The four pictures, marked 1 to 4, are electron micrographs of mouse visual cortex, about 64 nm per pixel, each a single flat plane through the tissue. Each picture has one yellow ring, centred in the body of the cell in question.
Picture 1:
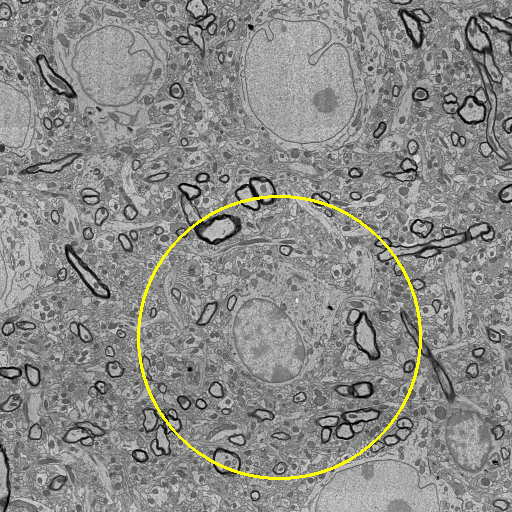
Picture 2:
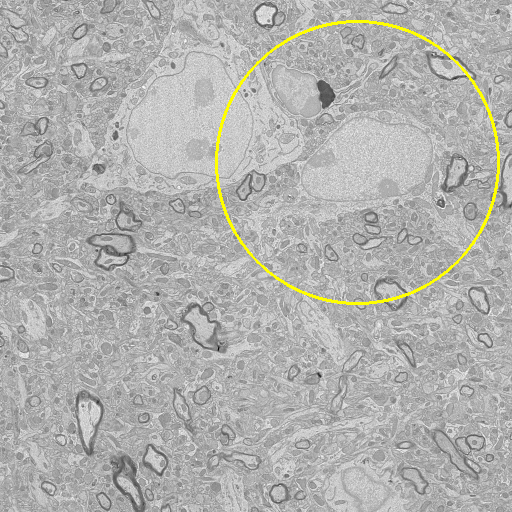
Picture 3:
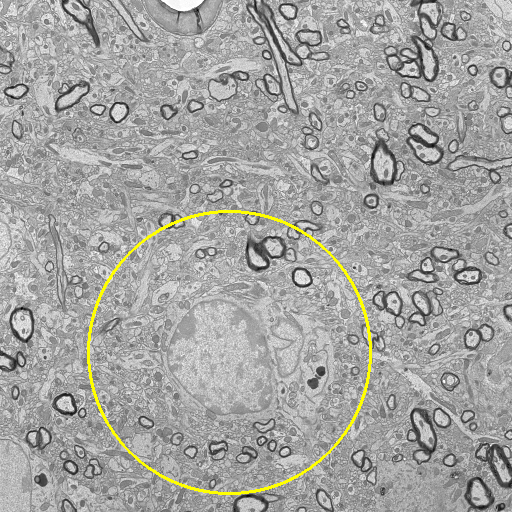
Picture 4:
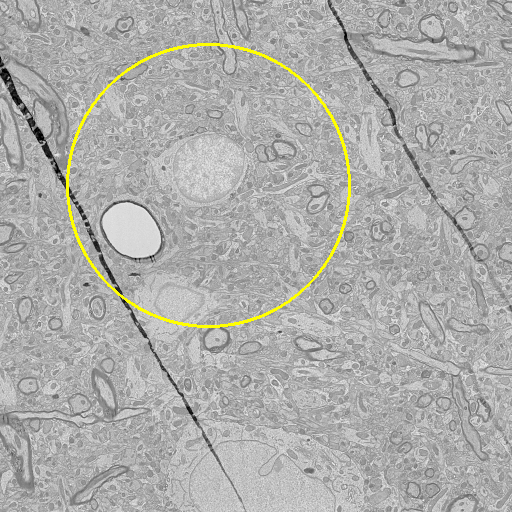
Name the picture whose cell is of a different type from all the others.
Picture 2 is the odd one out: it shows an astrocyte, while the others show oligodendrocytes.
